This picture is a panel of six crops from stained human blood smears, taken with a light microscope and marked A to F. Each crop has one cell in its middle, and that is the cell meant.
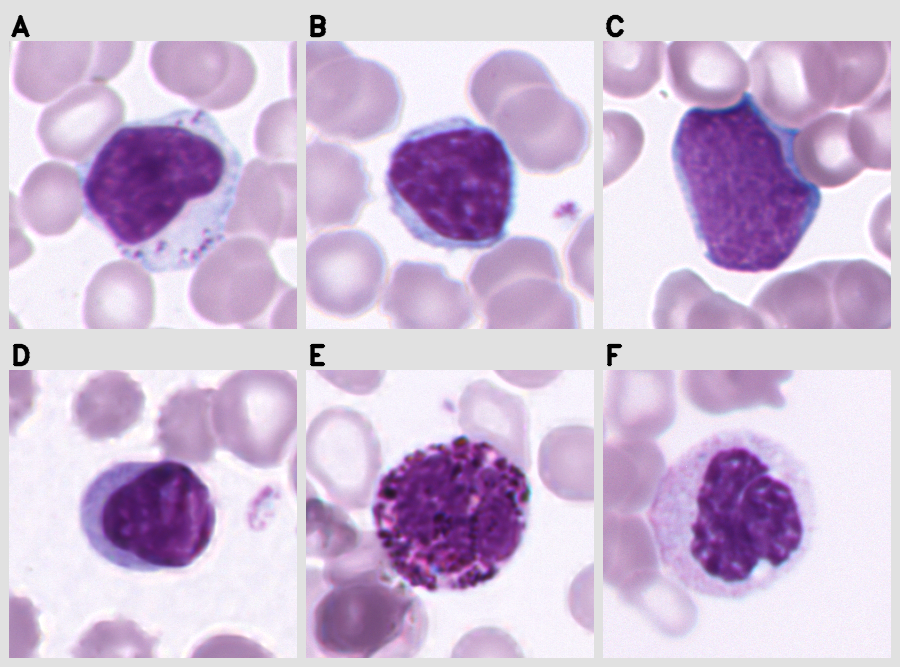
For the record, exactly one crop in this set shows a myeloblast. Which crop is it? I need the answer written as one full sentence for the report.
Selected crop: C, which is the one that shows a myeloblast.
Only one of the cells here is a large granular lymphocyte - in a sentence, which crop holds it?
Crop A is the one in this set that shows a large granular lymphocyte.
